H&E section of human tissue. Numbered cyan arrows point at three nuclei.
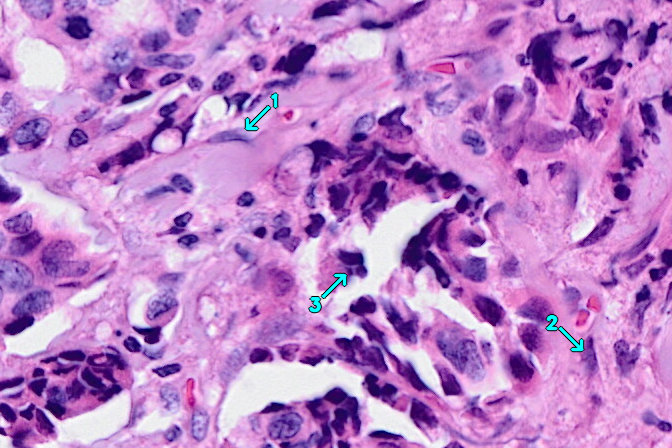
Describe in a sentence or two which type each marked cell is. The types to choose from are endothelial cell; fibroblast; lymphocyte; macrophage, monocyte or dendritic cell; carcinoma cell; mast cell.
Cells 1 and 2 are fibroblasts. Cell 3 is a carcinoma cell.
